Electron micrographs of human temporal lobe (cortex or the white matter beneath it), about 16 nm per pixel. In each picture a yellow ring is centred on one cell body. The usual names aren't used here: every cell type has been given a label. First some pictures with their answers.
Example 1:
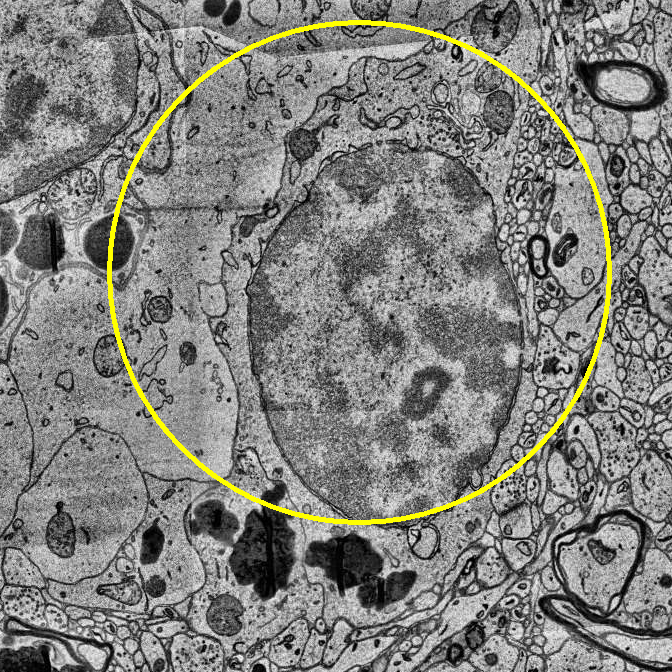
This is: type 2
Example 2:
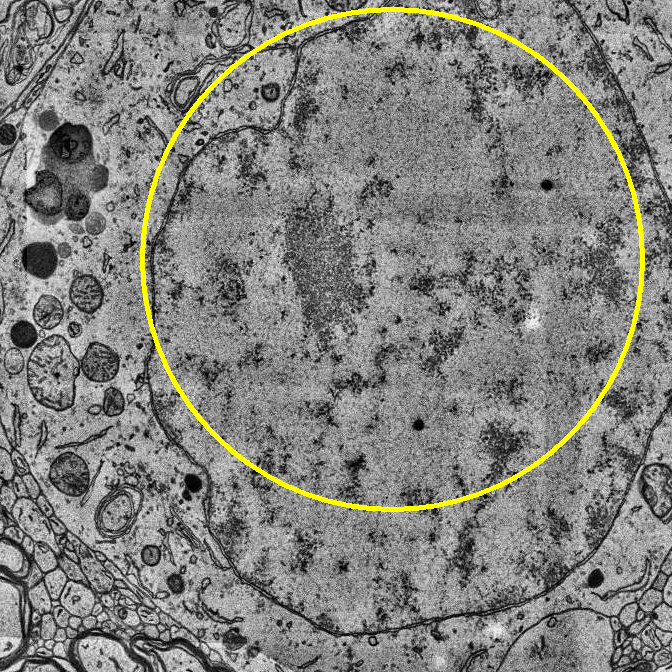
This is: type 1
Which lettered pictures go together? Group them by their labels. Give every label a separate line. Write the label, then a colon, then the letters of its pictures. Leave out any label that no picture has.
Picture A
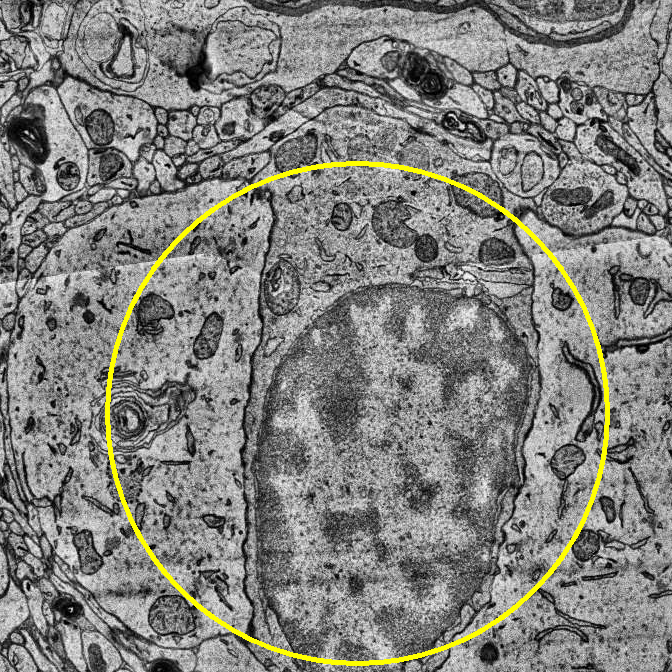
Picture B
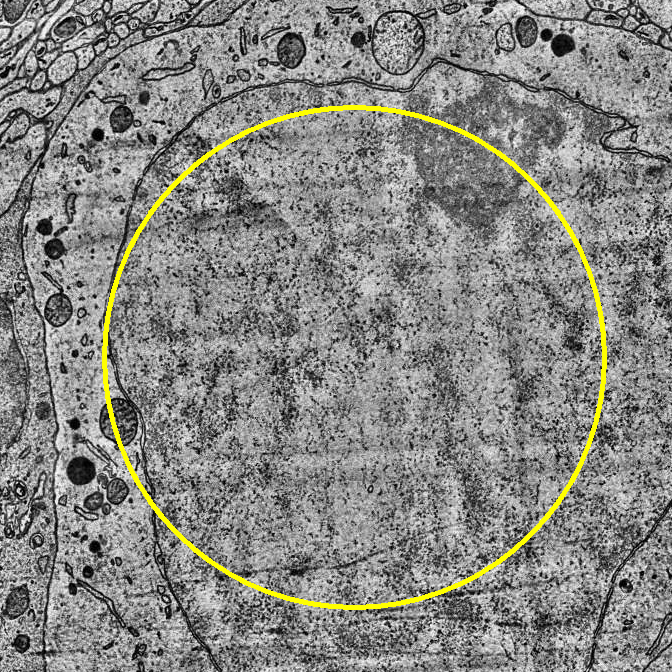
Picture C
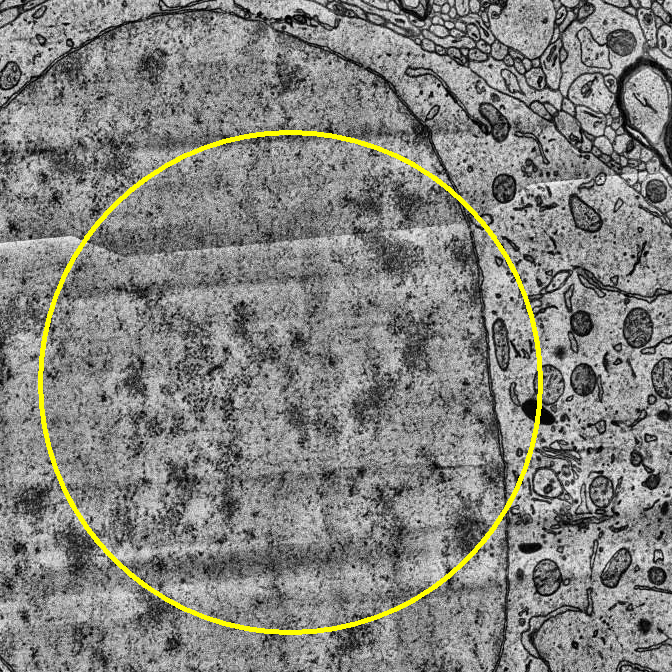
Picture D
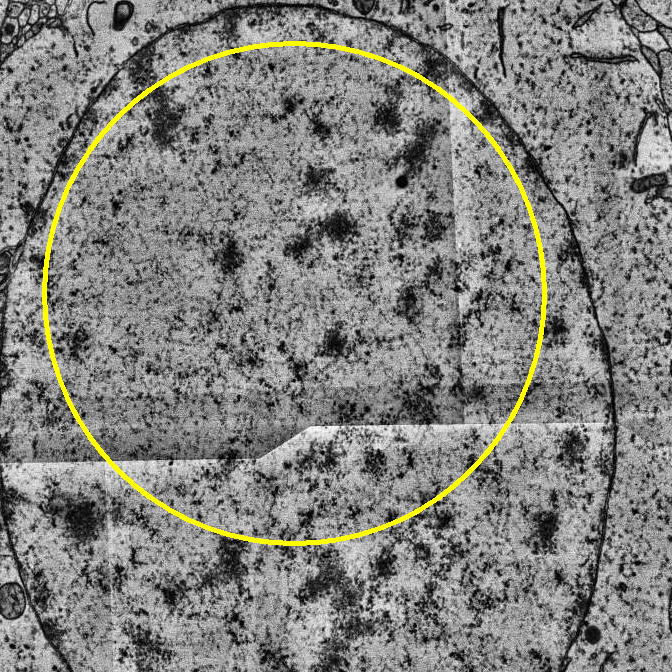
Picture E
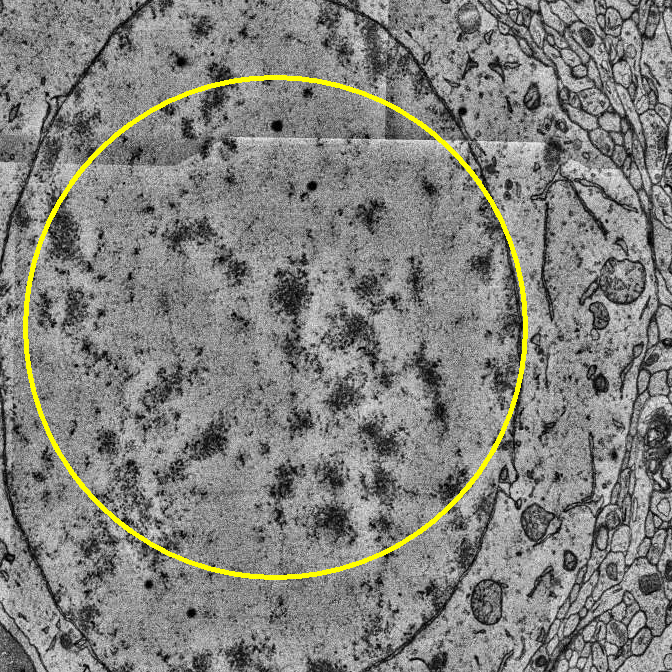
type 2: A
type 1: B, C, D, E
